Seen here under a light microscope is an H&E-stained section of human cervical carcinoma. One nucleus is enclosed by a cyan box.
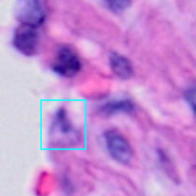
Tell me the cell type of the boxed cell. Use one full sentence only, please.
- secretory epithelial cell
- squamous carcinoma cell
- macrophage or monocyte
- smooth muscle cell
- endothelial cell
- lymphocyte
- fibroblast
As far as its identity is concerned, the boxed cell is an endothelial cell.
